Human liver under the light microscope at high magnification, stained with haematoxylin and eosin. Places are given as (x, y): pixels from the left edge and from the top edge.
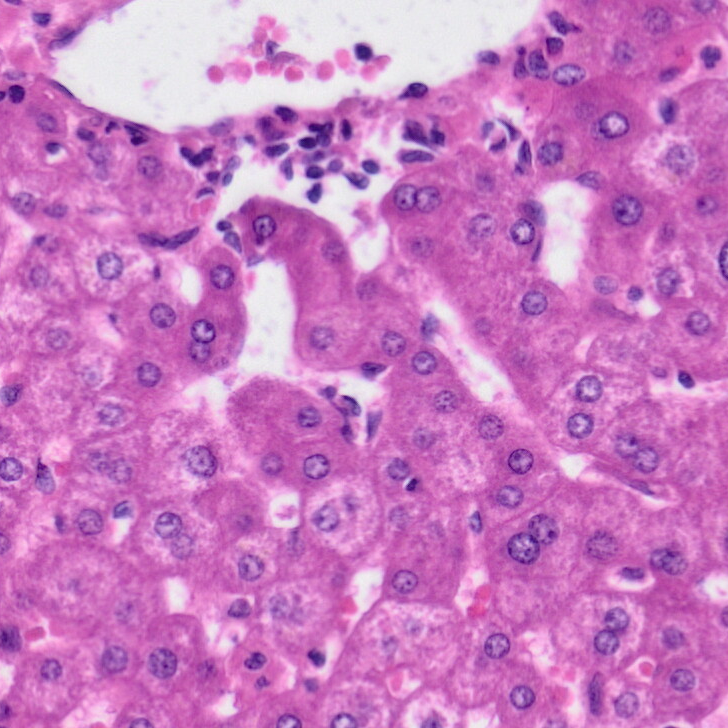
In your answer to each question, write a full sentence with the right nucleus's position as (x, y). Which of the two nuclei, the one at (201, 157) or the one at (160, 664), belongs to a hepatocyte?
Heads up, the nucleus at (160, 664) is the one that belongs to a hepatocyte.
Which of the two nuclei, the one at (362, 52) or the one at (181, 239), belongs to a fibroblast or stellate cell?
The nucleus at (181, 239) is contained in a fibroblast or stellate cell.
